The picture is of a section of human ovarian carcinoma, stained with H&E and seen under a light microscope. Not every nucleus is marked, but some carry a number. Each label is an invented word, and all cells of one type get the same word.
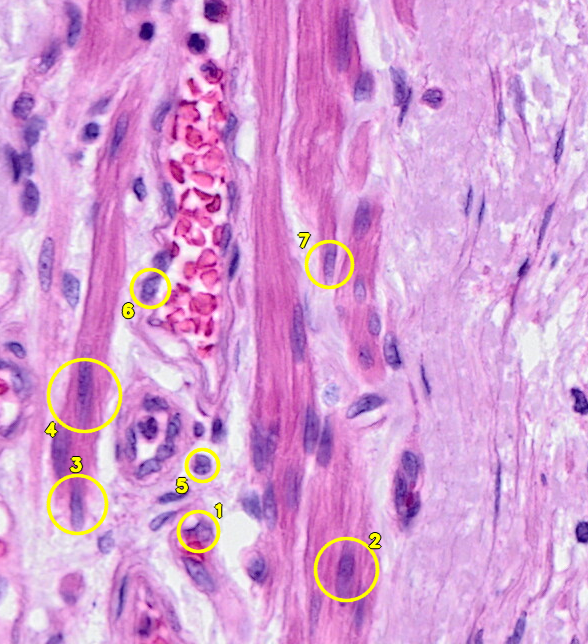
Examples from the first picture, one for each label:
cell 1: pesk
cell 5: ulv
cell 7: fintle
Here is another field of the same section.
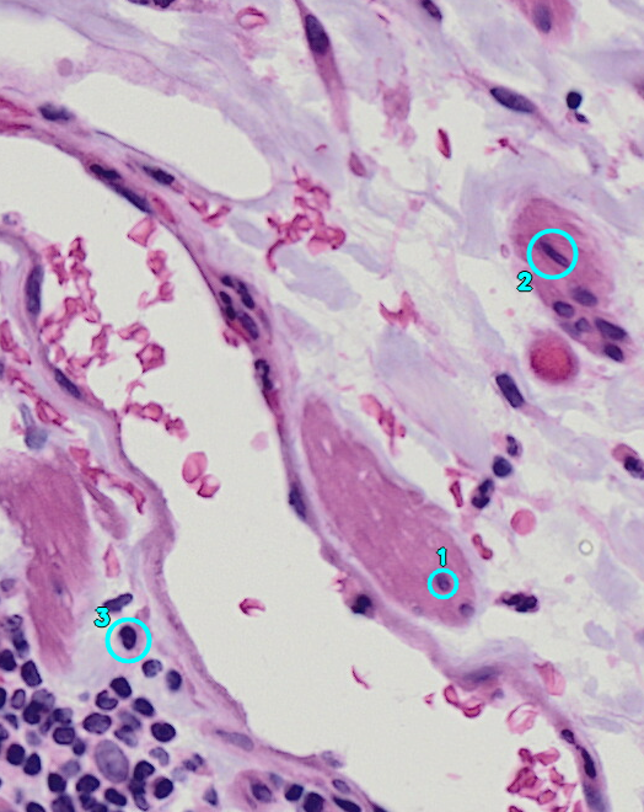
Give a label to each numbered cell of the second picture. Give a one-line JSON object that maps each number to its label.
{"1": "fintle", "2": "fintle", "3": "ulv"}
